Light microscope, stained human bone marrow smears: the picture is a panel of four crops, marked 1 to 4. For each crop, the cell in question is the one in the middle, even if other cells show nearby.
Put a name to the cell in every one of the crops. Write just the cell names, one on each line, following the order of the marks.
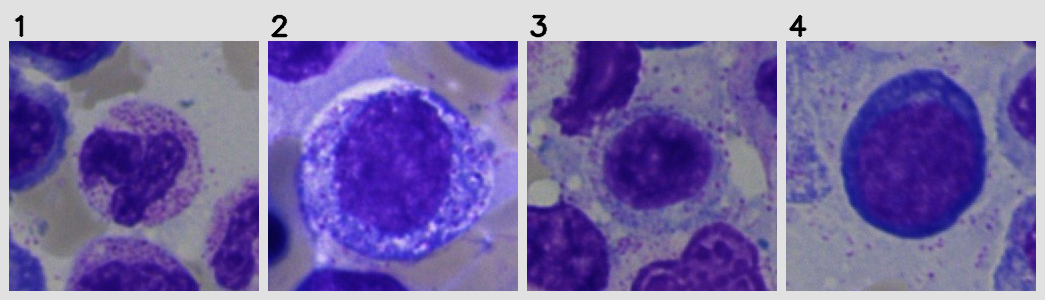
segmented neutrophil
promyelocyte
myelocyte
proerythroblast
